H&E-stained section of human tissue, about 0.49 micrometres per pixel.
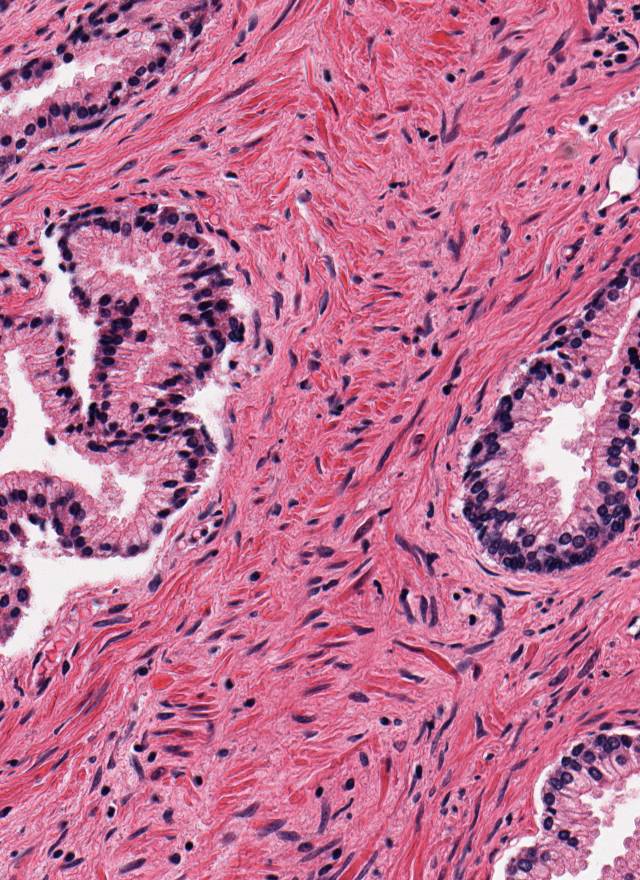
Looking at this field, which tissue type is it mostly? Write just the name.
fibromuscular stroma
